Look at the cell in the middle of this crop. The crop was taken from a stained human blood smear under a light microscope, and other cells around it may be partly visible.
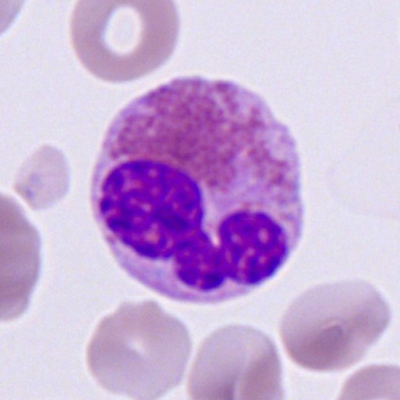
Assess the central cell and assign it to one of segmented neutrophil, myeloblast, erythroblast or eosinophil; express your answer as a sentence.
Classification of the middle cell gives an eosinophil.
